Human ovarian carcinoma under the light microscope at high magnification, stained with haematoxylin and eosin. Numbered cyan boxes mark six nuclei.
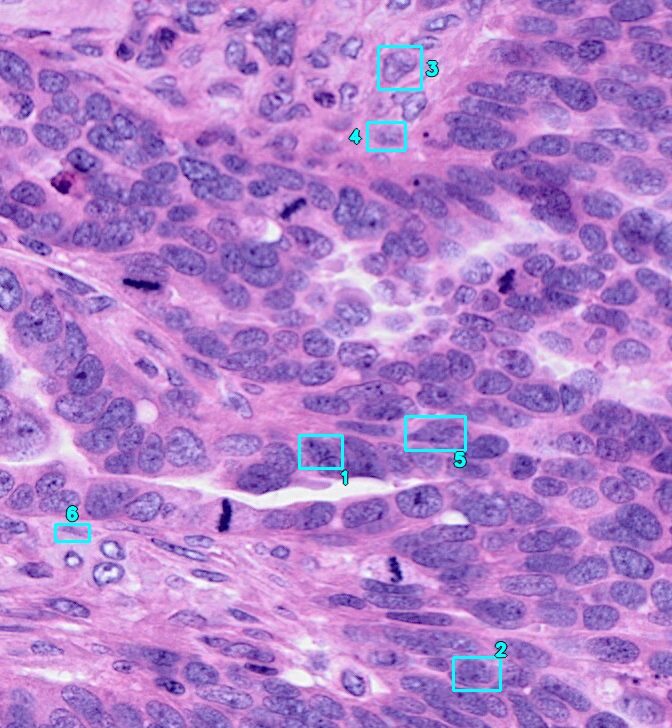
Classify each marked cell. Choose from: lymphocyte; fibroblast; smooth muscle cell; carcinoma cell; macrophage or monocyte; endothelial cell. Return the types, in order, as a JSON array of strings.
["carcinoma cell", "carcinoma cell", "fibroblast", "fibroblast", "carcinoma cell", "fibroblast"]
